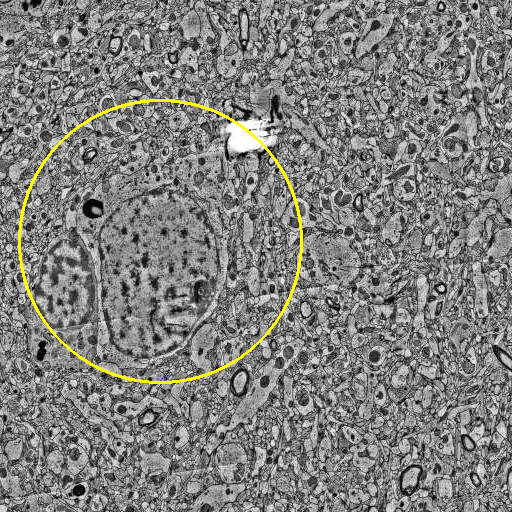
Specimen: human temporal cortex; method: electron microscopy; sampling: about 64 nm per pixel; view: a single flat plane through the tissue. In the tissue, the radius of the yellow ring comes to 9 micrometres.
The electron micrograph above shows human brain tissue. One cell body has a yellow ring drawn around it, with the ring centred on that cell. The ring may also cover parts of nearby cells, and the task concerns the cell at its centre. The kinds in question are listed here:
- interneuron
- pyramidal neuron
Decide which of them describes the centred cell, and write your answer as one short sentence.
The centred cell is an interneuron.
